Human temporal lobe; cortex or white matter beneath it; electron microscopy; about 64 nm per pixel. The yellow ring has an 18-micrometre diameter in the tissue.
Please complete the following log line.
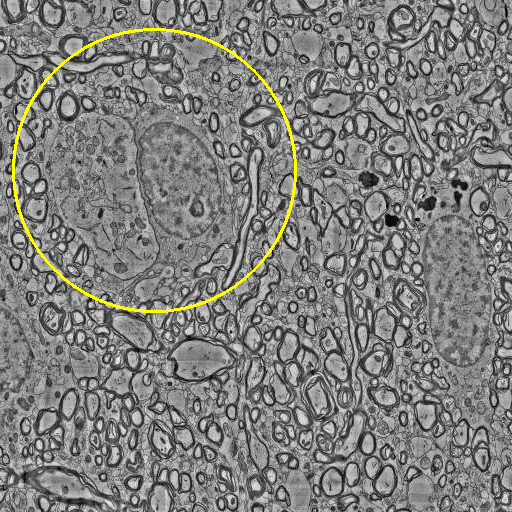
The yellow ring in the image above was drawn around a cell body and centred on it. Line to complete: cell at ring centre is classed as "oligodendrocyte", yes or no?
yes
